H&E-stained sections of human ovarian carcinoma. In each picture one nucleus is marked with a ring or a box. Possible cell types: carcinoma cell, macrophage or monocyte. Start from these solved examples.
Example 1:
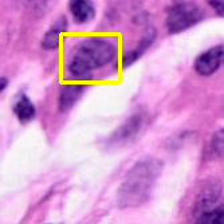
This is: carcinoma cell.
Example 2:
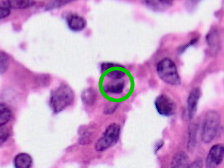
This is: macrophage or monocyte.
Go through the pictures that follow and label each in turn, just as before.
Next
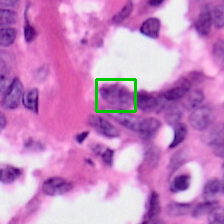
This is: carcinoma cell.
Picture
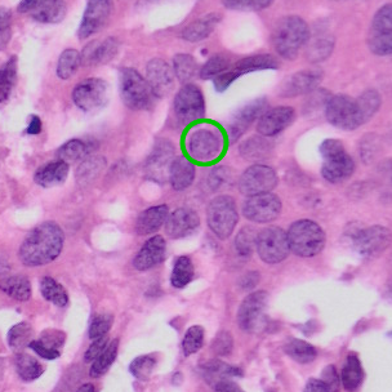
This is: carcinoma cell.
